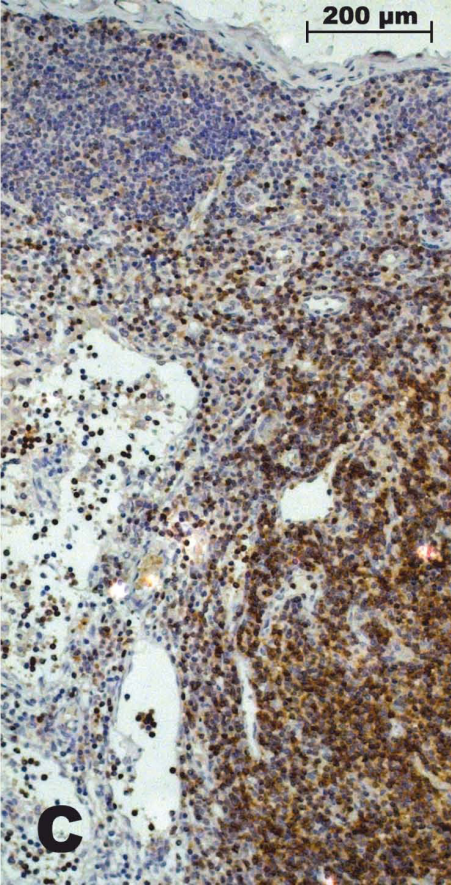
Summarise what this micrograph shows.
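A lymph node shows small round lymphocytes, with brown-stained cells packed densely in the paracortical zone below the surface. The rounded follicles just beneath the capsule are mostly blue-counterstained with few brown cells, and clear sinus spaces with scattered cells lie at the left.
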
